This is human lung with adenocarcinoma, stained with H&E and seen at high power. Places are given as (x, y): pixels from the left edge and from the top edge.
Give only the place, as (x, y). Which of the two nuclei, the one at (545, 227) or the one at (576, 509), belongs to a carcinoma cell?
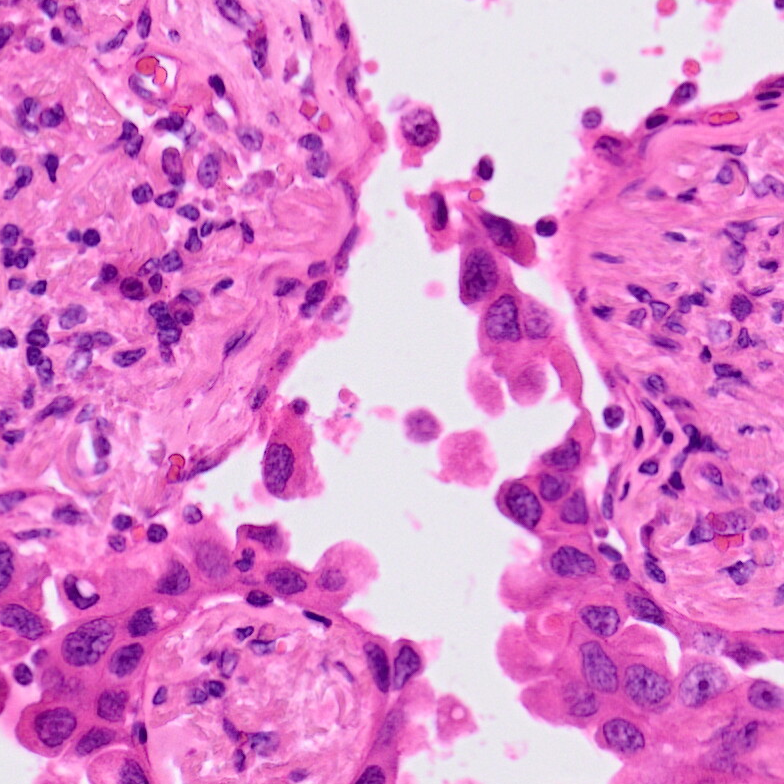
(576, 509)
